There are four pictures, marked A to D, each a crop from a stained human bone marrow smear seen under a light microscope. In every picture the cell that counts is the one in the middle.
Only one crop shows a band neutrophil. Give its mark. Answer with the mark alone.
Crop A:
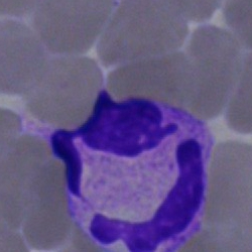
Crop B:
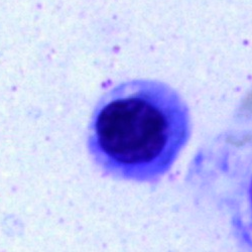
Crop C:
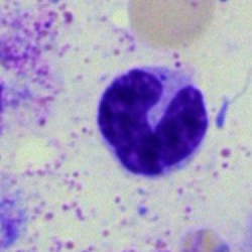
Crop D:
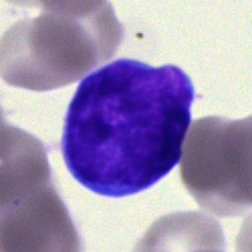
C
